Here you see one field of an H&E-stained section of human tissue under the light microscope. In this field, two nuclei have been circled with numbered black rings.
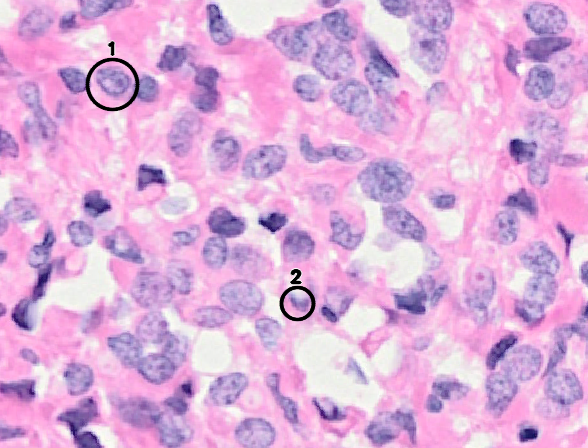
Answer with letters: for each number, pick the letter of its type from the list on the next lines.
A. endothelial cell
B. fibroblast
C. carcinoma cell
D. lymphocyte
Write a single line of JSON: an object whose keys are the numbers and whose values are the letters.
{"1": "C", "2": "A"}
